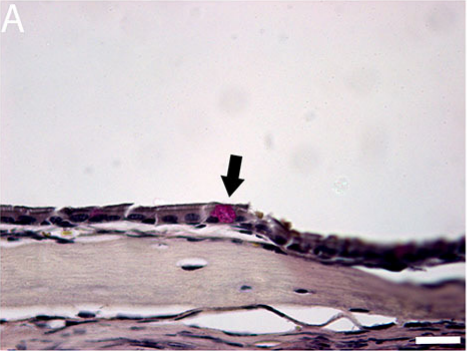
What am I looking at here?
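The lining is one to two cells thick, made of flattened cells with dark elongated nuclei. One rounded cell within it is filled with magenta-stained material; no other magenta cells are seen in this stretch. The cavity above is clear and empty. Below the lining lies a broad pale pinkish layer of dense tissue with few nuclei, bordered by thin connective tissue with small clefts.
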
